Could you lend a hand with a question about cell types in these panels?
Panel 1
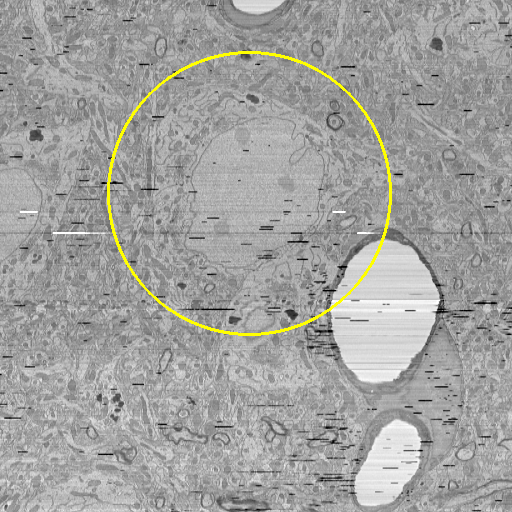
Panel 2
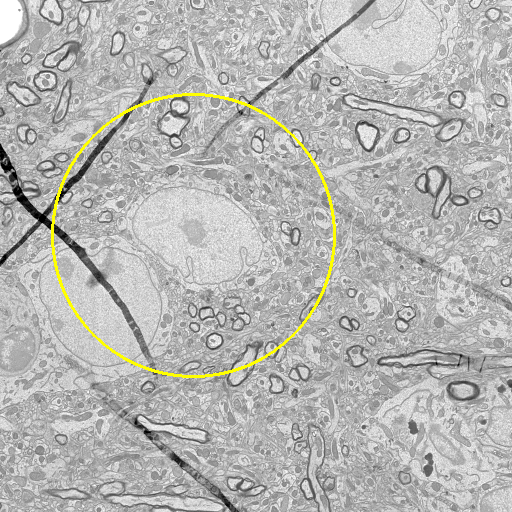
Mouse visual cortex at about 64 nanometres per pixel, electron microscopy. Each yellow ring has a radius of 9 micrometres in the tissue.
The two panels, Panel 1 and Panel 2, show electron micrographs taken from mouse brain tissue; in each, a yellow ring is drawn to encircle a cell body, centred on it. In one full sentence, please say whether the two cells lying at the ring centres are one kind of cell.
Yes, the cells at the ring centres in the two panels are one kind of cell.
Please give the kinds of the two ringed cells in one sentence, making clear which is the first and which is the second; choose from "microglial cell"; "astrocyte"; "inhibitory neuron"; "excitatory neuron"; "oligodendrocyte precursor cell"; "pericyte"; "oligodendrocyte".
In both pictures the ring is centred on an inhibitory neuron.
